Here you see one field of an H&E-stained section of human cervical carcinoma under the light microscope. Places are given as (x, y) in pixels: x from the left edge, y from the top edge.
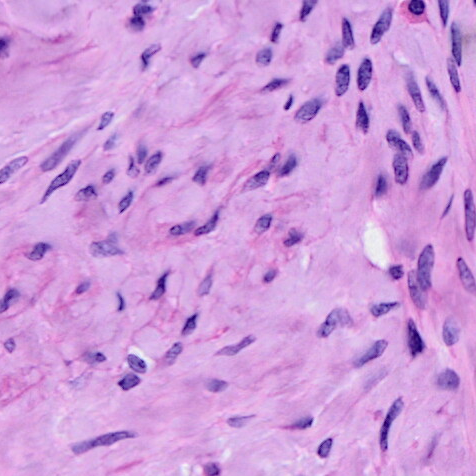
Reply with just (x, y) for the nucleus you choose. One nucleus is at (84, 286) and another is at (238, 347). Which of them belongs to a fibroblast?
(238, 347)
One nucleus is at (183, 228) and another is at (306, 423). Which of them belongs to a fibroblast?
(306, 423)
